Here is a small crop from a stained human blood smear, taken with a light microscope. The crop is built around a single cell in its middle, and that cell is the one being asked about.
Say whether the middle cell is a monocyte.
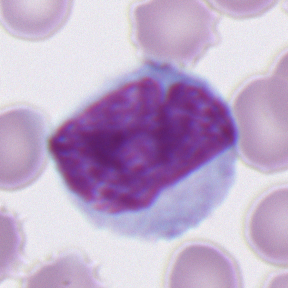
yes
